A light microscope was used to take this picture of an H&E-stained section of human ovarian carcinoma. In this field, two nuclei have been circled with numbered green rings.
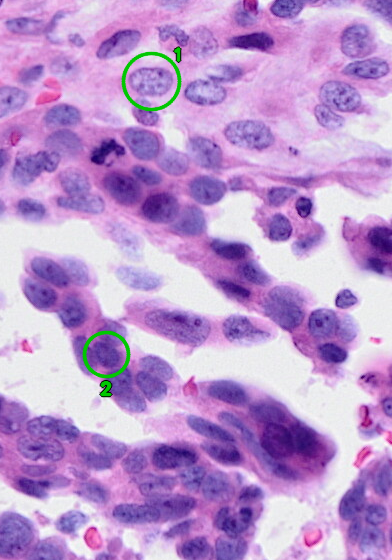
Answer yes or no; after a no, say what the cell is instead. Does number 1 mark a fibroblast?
Yes.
